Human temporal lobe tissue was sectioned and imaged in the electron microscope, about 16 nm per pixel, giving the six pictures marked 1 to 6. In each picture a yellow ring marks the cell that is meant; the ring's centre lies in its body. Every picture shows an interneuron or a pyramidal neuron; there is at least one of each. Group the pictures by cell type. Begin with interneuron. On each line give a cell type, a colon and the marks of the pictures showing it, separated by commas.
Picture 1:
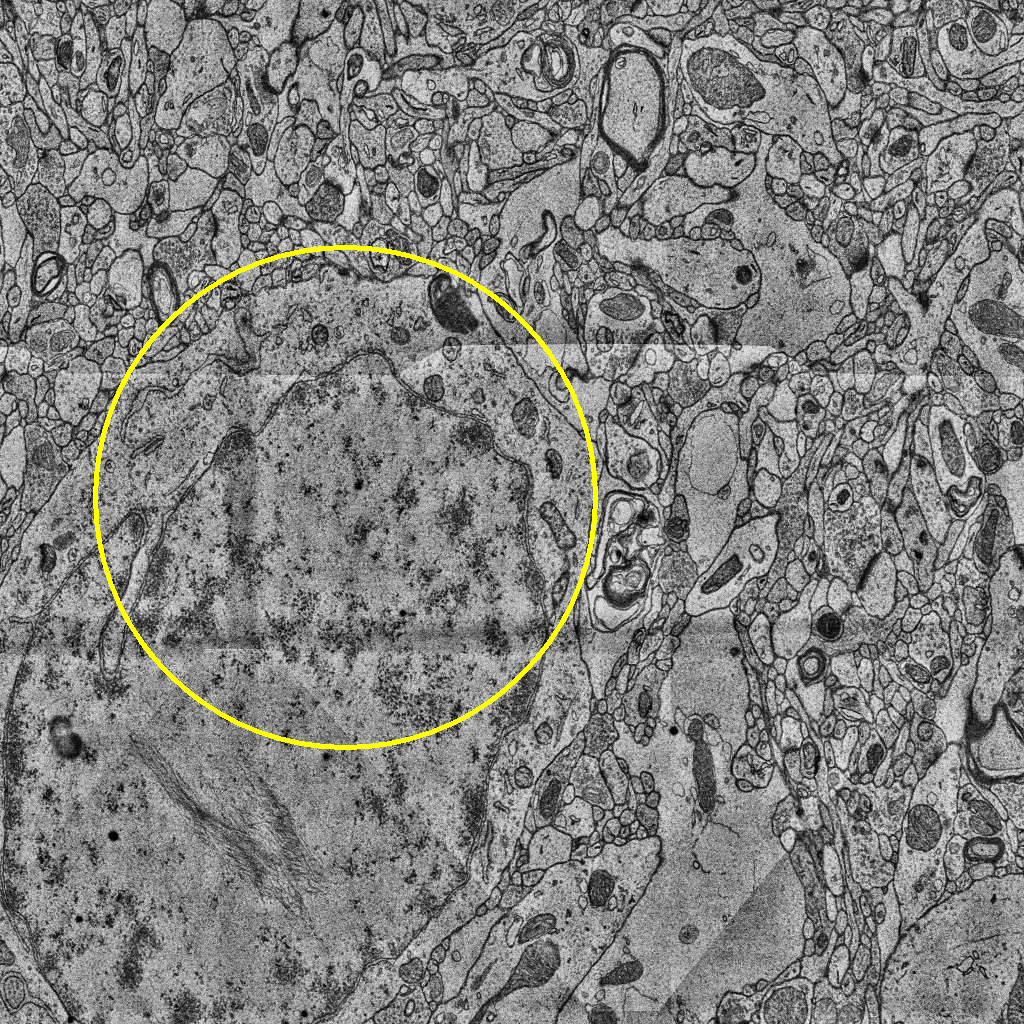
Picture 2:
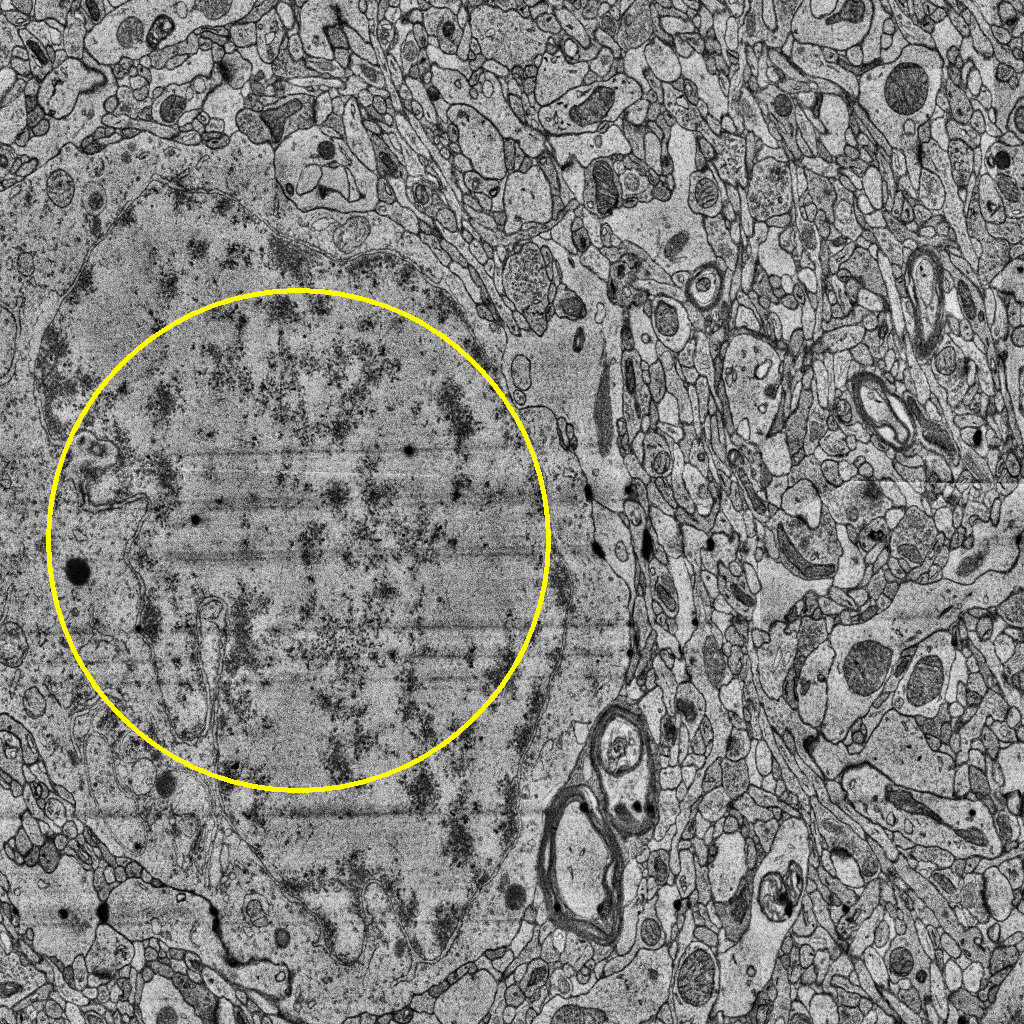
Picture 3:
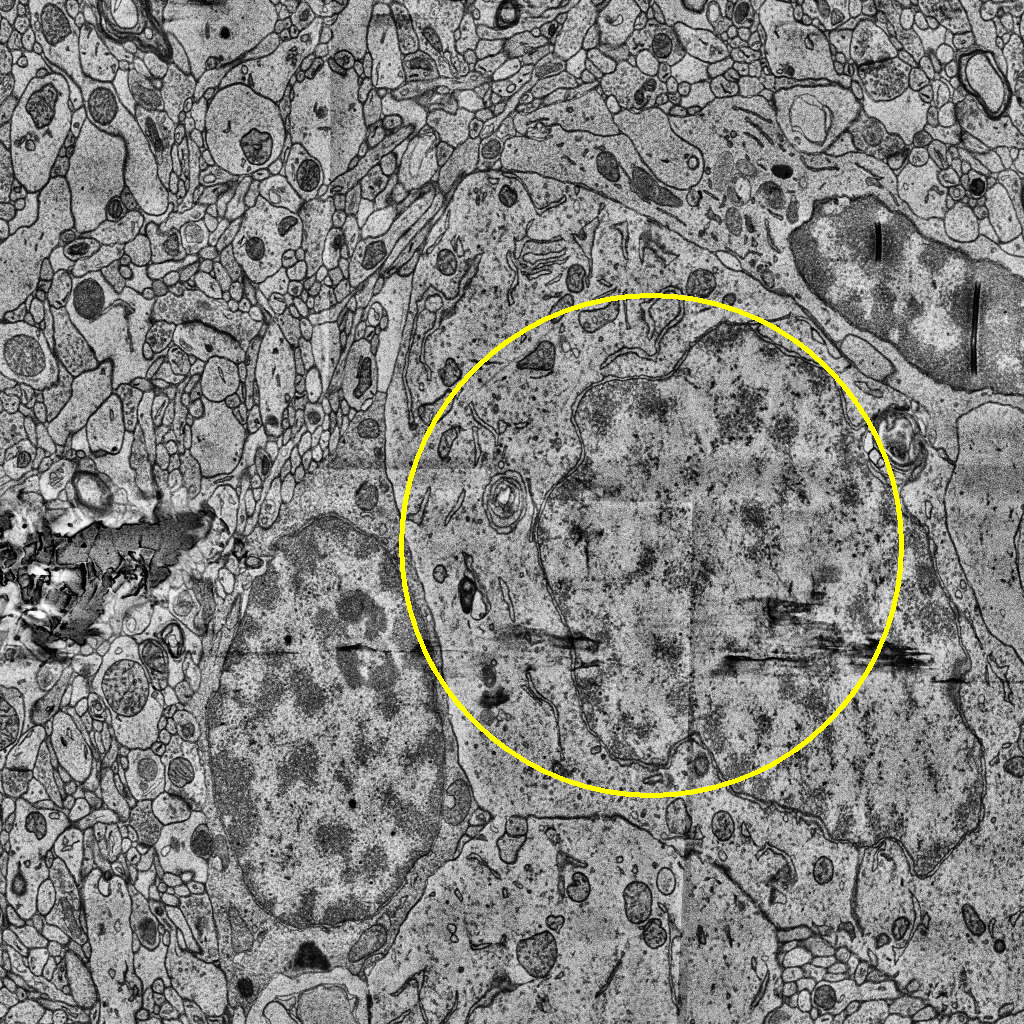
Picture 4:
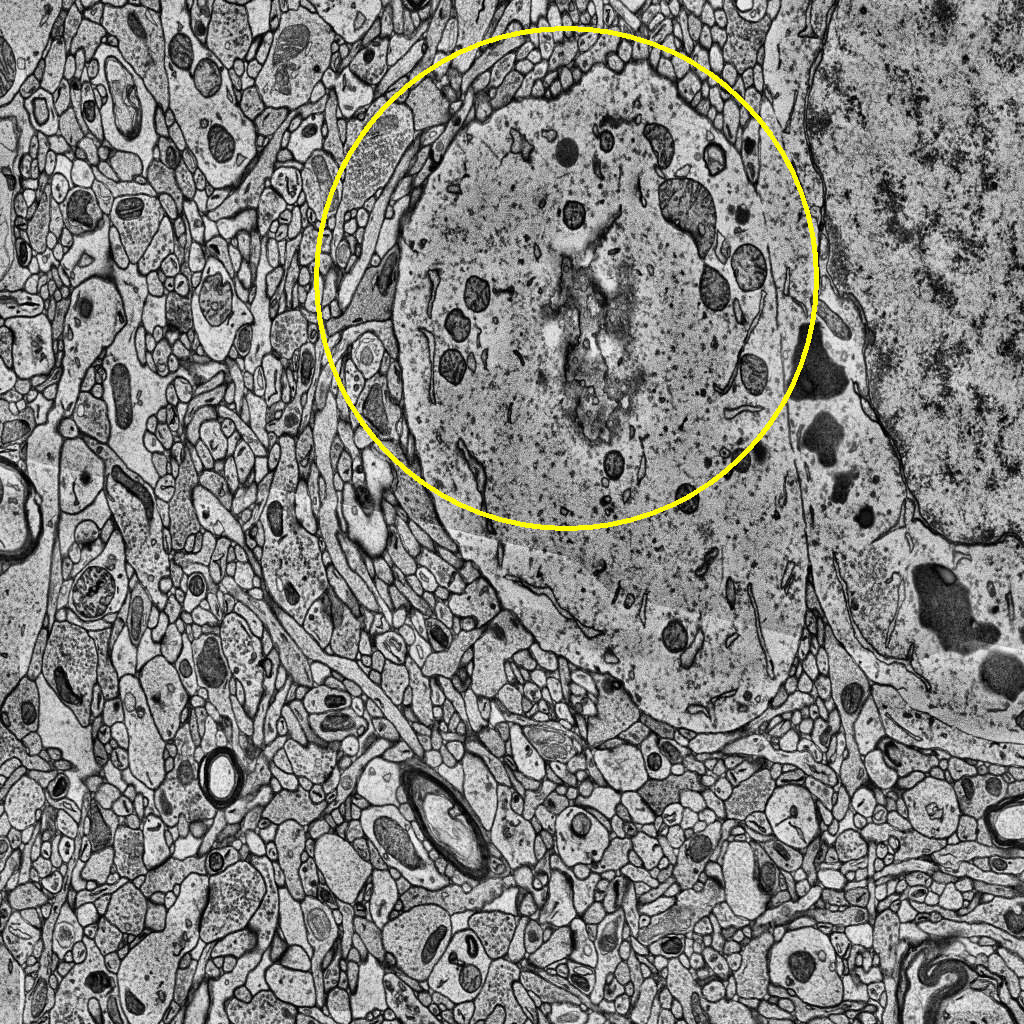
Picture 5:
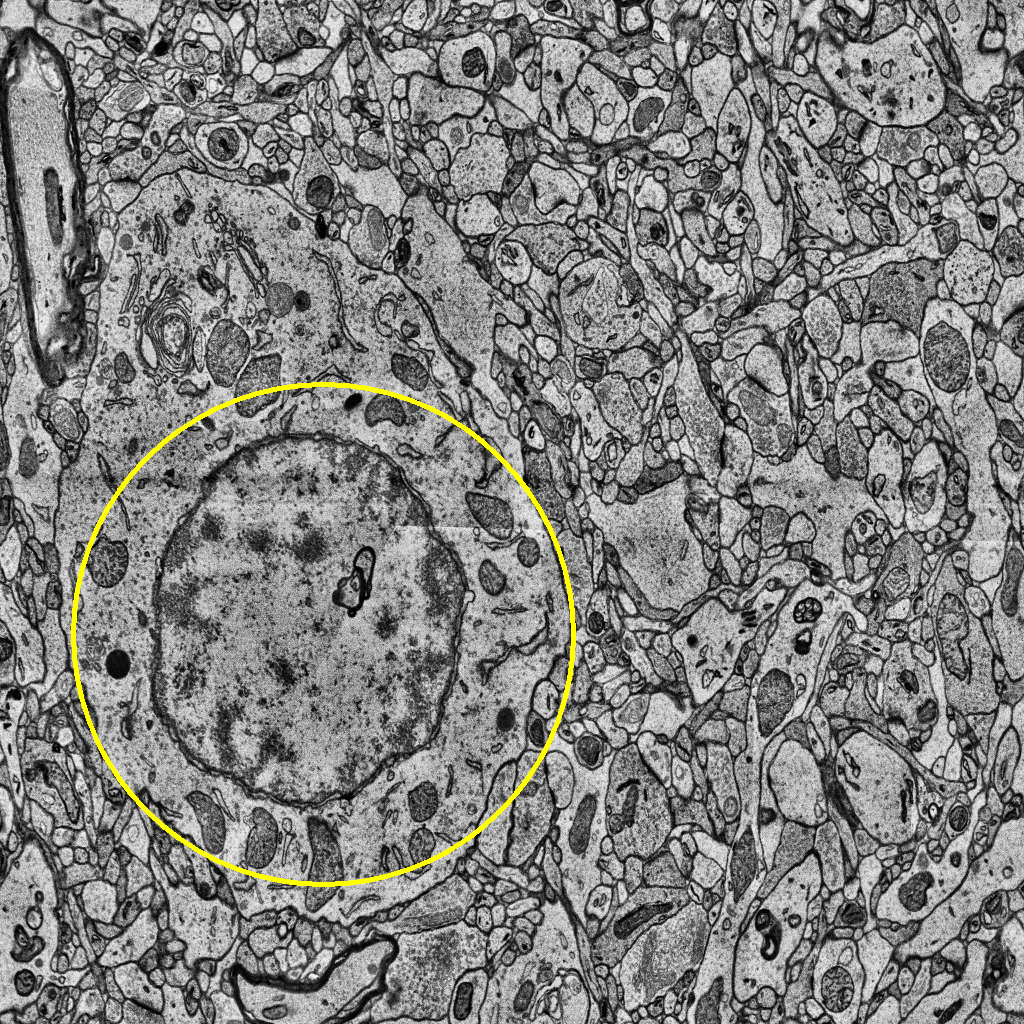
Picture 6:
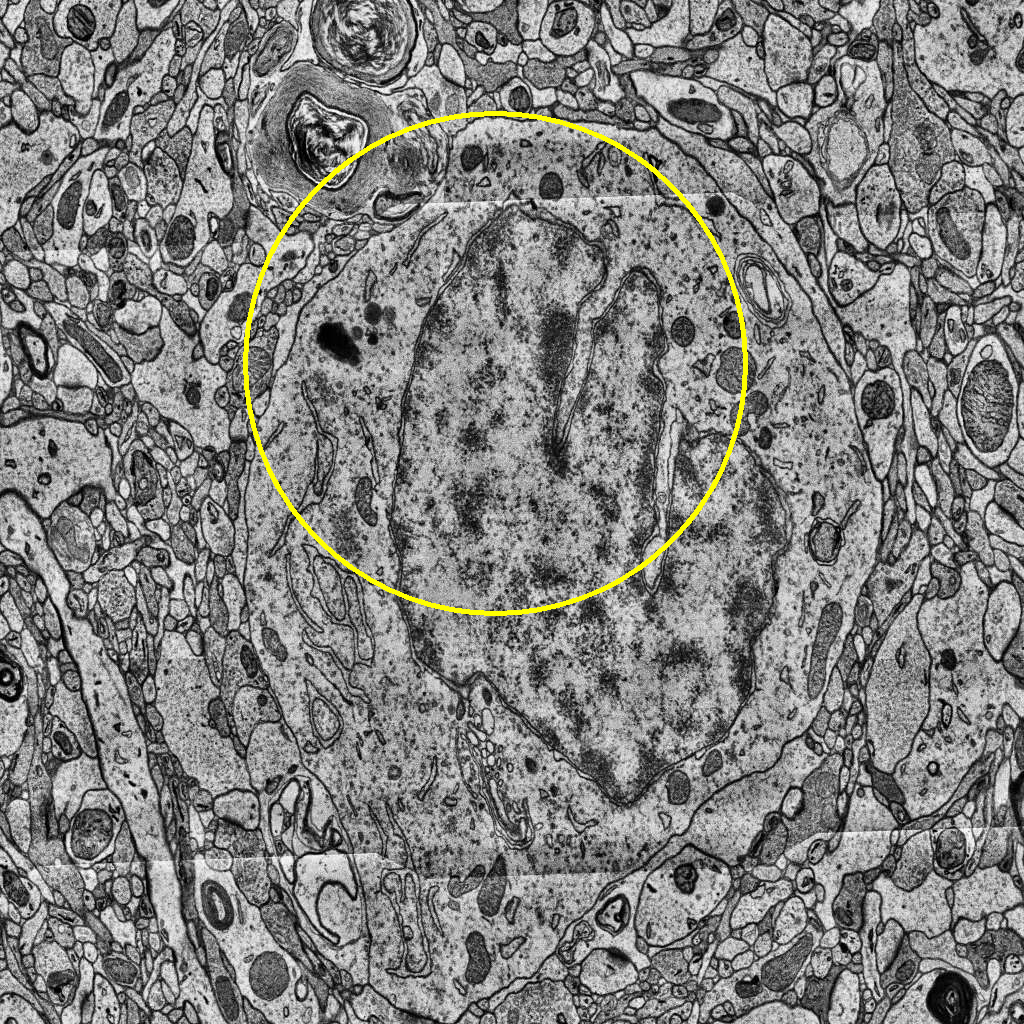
interneuron: 1, 2, 3, 6
pyramidal neuron: 4, 5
